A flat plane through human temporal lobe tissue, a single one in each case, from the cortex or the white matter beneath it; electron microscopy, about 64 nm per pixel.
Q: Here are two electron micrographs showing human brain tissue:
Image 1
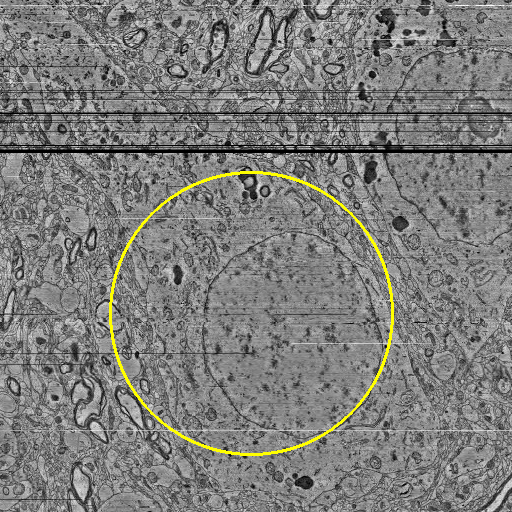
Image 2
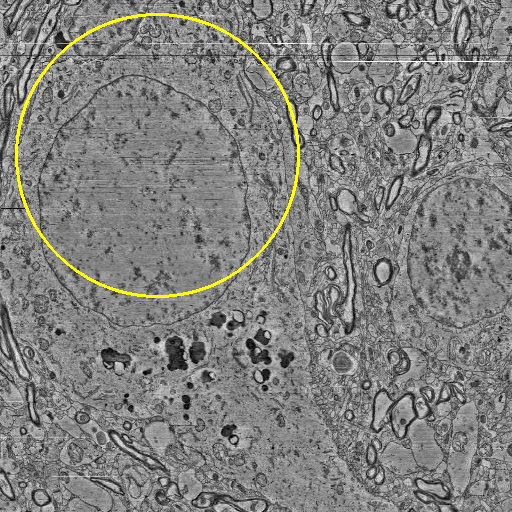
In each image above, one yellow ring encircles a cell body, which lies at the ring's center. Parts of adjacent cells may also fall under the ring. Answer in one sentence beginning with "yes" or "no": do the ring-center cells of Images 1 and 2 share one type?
Yes, in Images 1 and 2, the ring-center cells are both of one type.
